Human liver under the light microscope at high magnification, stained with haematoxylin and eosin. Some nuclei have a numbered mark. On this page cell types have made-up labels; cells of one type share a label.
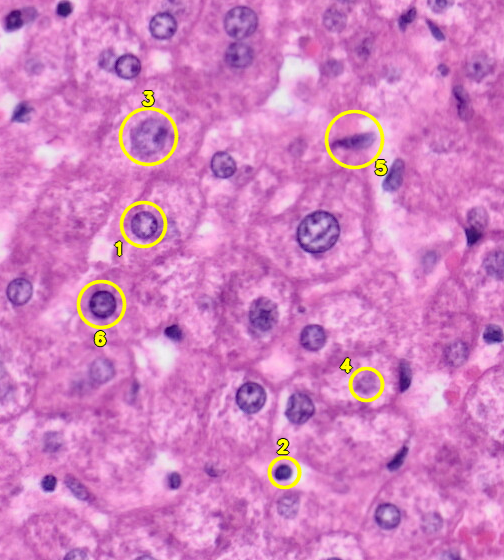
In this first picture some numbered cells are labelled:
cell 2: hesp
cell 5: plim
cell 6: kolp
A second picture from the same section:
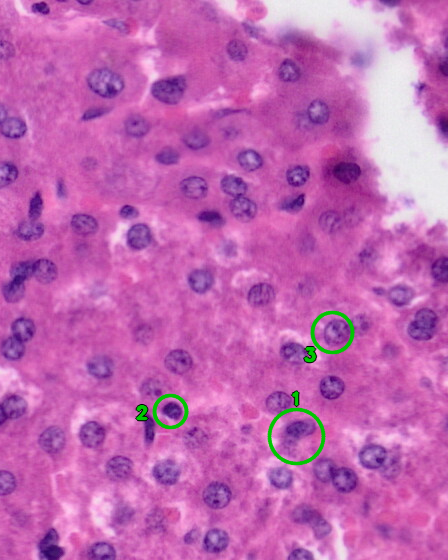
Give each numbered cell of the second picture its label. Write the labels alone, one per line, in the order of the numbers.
plim
hesp
kolp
